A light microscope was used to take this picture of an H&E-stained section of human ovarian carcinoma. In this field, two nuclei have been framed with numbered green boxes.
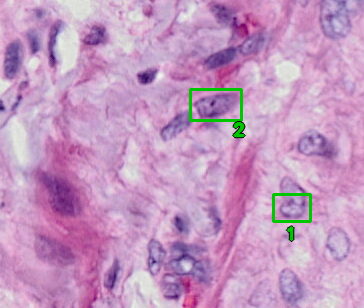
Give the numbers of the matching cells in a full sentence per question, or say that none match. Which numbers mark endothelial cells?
Cell 2 alone, of all the numbered cells, is an endothelial cell.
